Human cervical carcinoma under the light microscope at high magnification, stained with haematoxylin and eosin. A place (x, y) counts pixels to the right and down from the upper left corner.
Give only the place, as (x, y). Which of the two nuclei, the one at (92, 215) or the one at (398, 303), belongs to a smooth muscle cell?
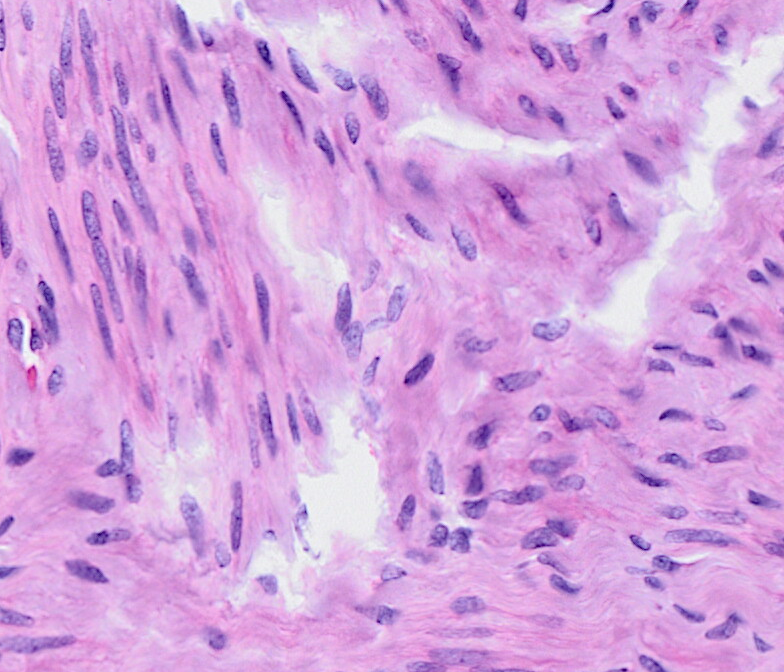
(92, 215)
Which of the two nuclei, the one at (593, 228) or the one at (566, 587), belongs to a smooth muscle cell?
(593, 228)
